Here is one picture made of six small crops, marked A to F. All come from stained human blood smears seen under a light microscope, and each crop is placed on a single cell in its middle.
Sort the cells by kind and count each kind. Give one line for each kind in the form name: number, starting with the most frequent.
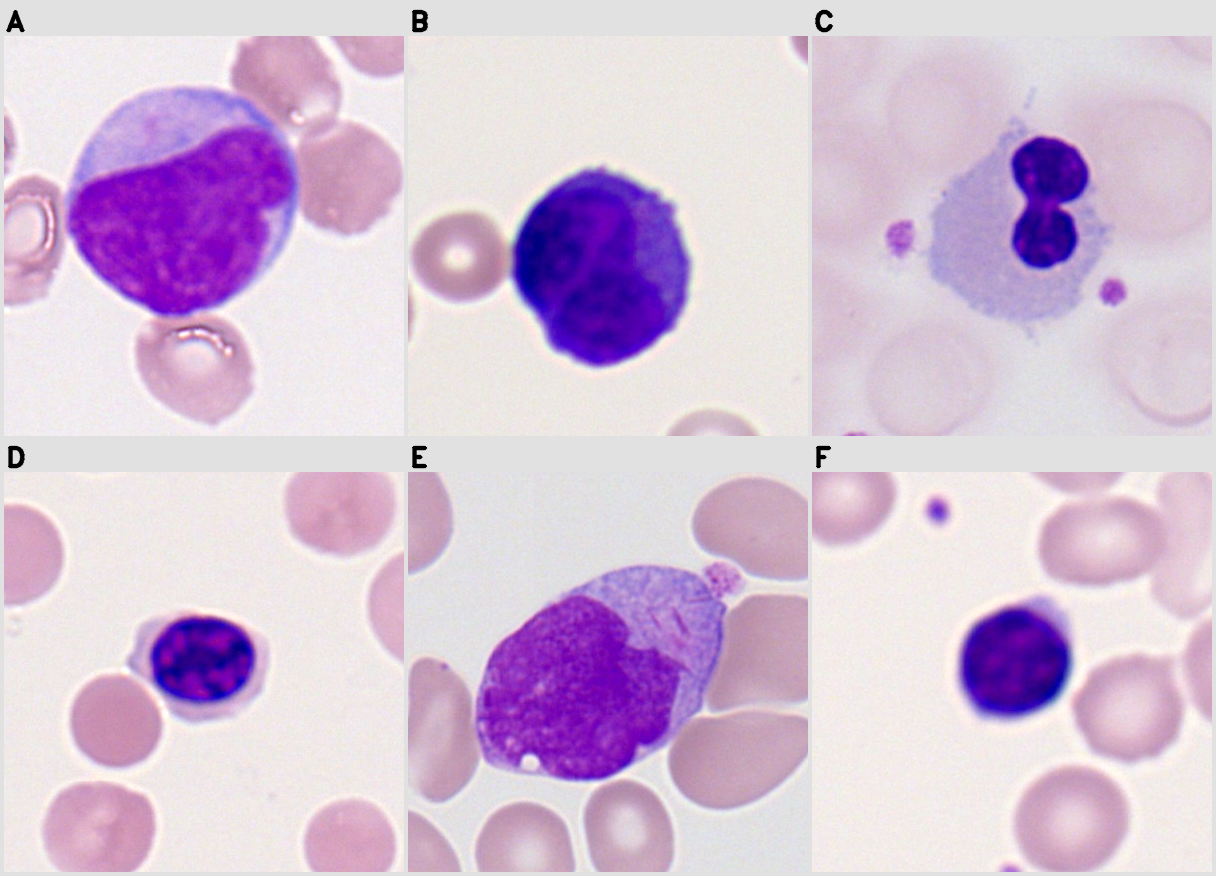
myeloblast: 3
erythroblast: 2
lymphocyte: 1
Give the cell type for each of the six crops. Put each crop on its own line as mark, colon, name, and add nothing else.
A: myeloblast
B: myeloblast
C: erythroblast
D: erythroblast
E: myeloblast
F: lymphocyte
